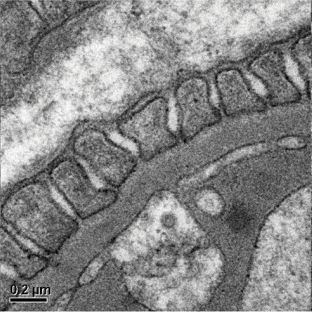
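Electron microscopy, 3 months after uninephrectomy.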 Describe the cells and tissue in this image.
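Glomerular filtration barrier seen in thin section. A continuous, homogeneous grey basement membrane curves across the field. On one side rests a regular row of podocyte foot processes, box-like to rounded profiles of similar width, separated by narrow pale slits. The foot processes have a finely granular, moderately dense cytoplasm. No broad effacement of the foot processes is seen in this field.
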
